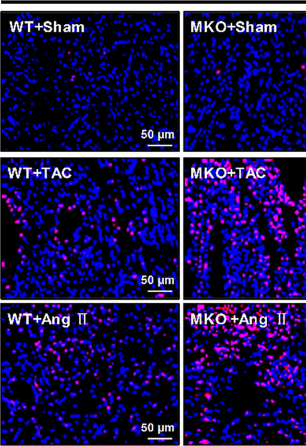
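In the top two views magenta nuclei are rare. In the lower views they are more common. In some views the magenta nuclei are numerous and lie in clusters among the blue ones. The nuclei are small and oval, and the tissue between them is dark with no other label.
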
